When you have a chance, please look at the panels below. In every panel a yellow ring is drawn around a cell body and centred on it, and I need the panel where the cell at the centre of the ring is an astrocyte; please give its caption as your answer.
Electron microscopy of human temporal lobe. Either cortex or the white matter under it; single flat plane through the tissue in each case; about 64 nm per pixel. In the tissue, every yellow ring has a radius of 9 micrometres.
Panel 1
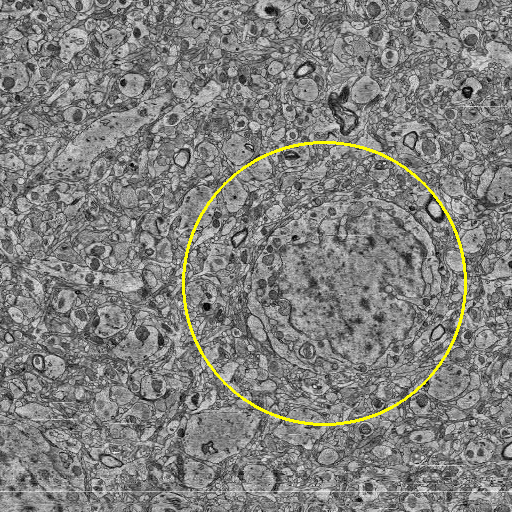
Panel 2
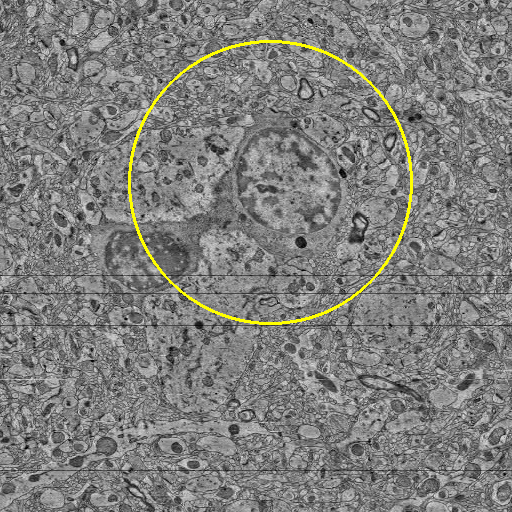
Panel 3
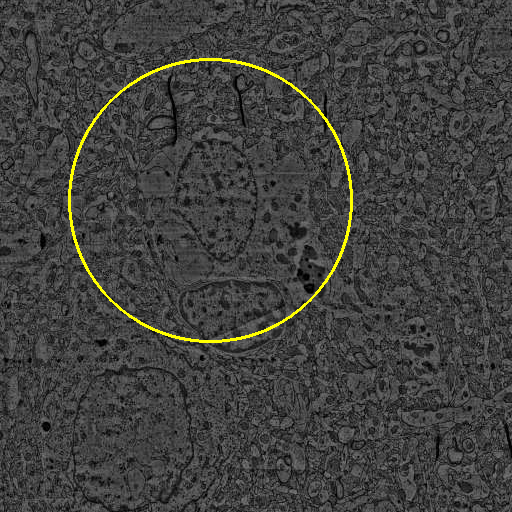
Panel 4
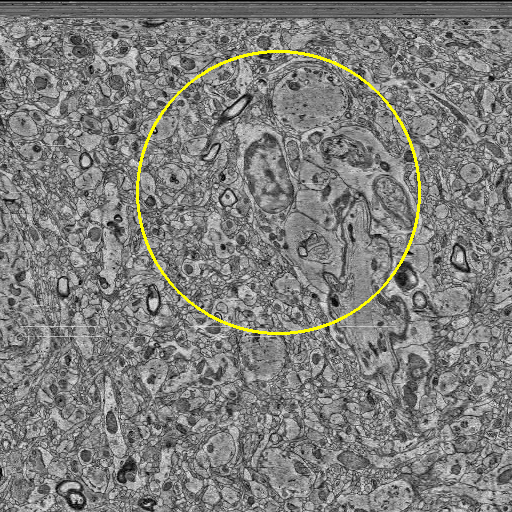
Panel 3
